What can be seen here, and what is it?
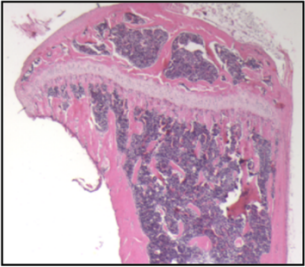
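At the top, the rounded bony end holds spaces filled with densely purple marrow, walled by pink bone. A pale, faintly lilac band of cartilage, the growth plate, runs across the bone beneath it. Below that band, thin pink bone strands lie among abundant purple marrow, which fills much of the shaft's interior.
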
